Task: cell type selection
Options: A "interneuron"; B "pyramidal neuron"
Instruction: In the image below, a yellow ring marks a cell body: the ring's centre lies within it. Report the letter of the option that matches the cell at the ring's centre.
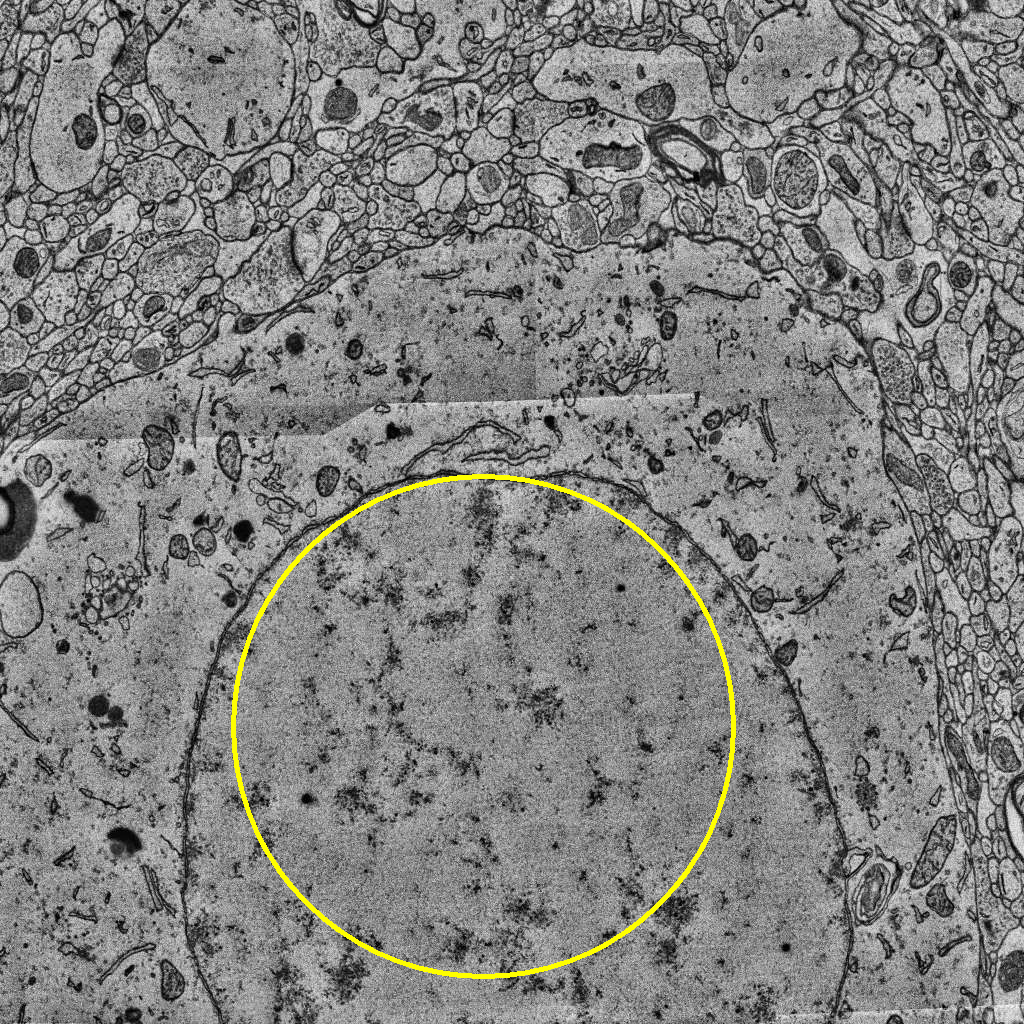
B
